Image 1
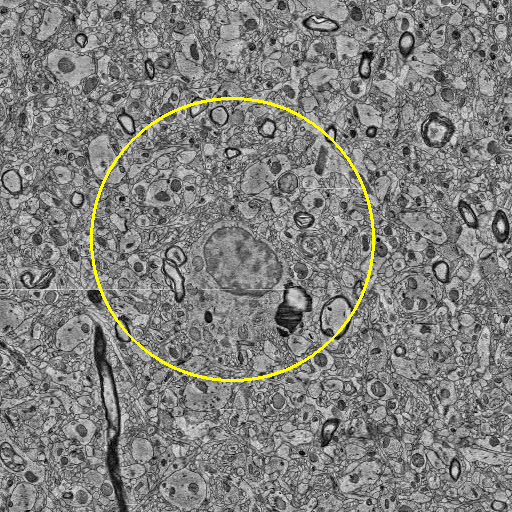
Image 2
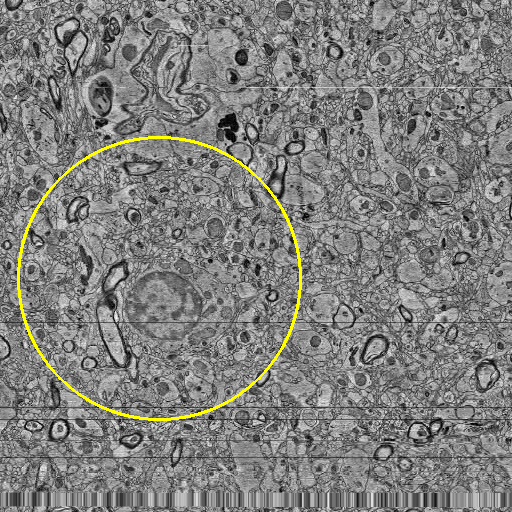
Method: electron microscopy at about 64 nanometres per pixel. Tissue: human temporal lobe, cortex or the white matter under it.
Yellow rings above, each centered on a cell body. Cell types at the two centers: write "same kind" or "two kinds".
same kind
